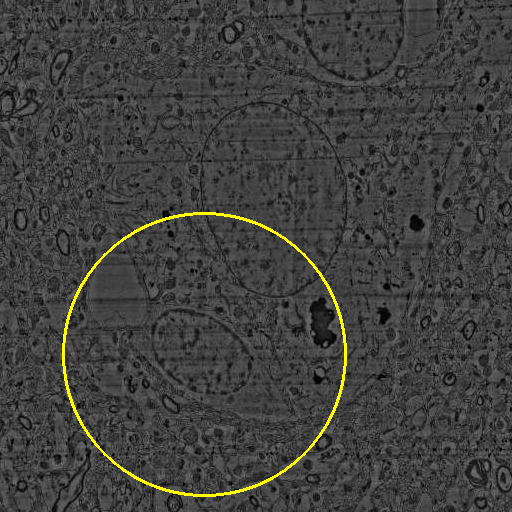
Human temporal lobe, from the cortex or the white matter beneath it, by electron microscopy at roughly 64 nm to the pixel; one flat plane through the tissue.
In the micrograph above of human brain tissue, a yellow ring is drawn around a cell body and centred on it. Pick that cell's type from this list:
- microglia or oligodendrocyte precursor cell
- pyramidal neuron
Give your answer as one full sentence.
Going by the list, a microglial cell or oligodendrocyte precursor cell is the cell on which the yellow ring is centred.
